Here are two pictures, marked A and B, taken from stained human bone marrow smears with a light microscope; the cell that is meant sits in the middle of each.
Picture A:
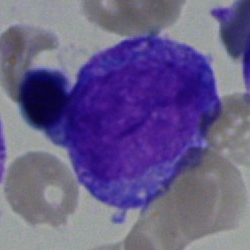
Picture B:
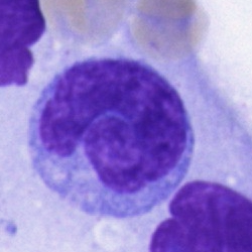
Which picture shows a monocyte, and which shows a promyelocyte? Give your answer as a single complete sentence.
Picture A shows a promyelocyte and picture B shows a monocyte.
